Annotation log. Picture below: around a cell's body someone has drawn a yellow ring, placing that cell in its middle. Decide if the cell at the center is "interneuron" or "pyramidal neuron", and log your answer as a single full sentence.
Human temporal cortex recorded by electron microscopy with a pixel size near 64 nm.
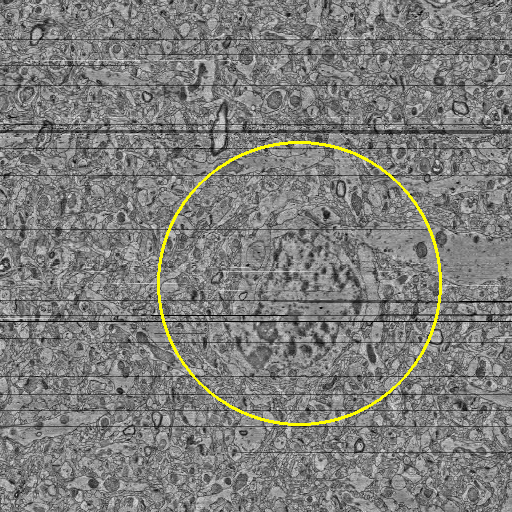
My entry records an interneuron as the cell sitting at the center of the yellow ring.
